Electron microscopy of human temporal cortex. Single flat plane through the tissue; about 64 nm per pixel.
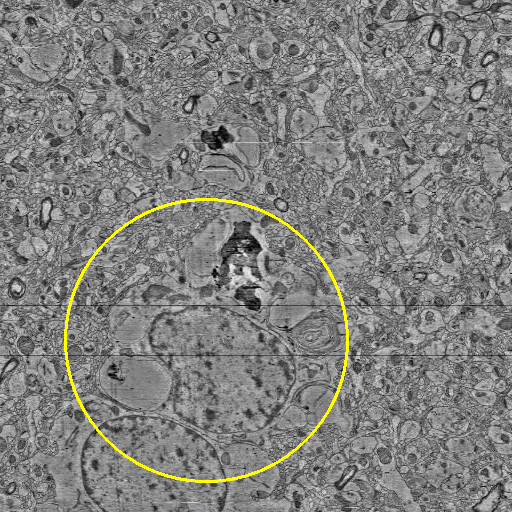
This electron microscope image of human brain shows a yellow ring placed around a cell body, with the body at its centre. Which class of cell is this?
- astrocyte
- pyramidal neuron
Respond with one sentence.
The cell body at the ring's centre is an astrocyte.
